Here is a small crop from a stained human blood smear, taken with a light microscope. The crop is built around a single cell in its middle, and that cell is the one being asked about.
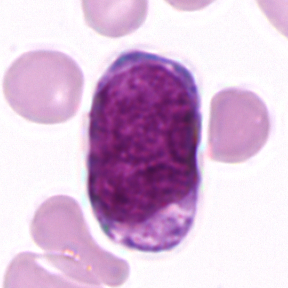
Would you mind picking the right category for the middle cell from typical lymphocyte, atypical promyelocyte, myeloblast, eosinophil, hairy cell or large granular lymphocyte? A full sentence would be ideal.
Positioned in the middle of the crop is an atypical promyelocyte.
